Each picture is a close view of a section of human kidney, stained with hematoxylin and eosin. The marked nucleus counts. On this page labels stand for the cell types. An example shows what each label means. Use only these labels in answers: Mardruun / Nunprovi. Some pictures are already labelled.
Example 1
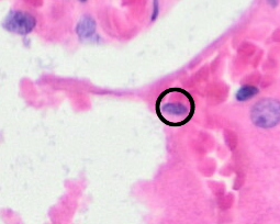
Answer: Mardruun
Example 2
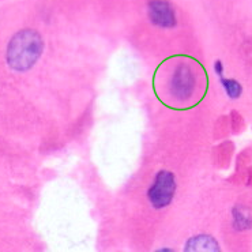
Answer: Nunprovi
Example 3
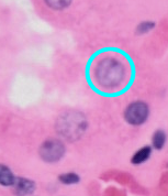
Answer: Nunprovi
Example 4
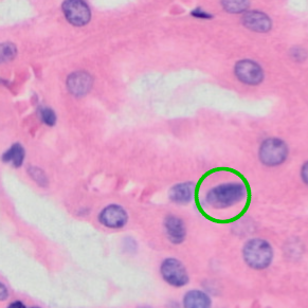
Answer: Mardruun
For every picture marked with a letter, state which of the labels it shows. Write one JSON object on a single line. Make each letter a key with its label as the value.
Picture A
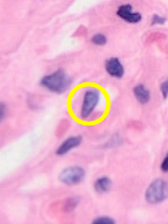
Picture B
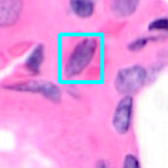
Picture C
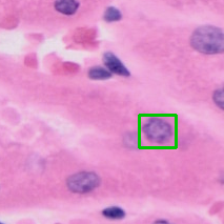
{"A": "Mardruun", "B": "Mardruun", "C": "Nunprovi"}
